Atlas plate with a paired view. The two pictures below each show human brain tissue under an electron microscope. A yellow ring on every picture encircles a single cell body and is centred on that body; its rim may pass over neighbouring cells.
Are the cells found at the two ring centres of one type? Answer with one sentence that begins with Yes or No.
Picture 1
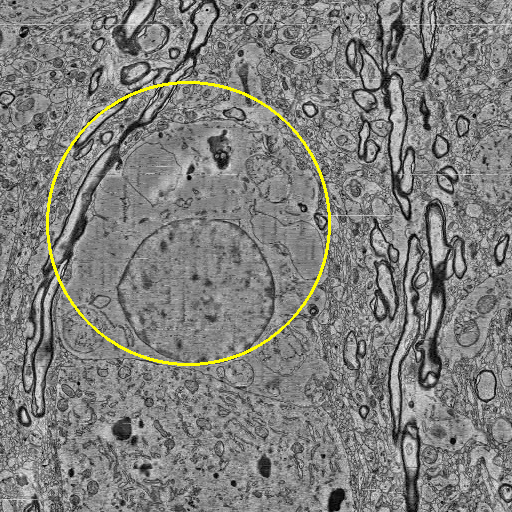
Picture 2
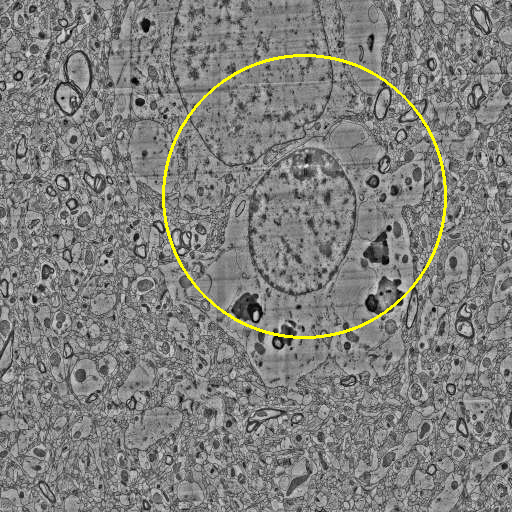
Yes, the two cells lying at the centres of the rings share a single type.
